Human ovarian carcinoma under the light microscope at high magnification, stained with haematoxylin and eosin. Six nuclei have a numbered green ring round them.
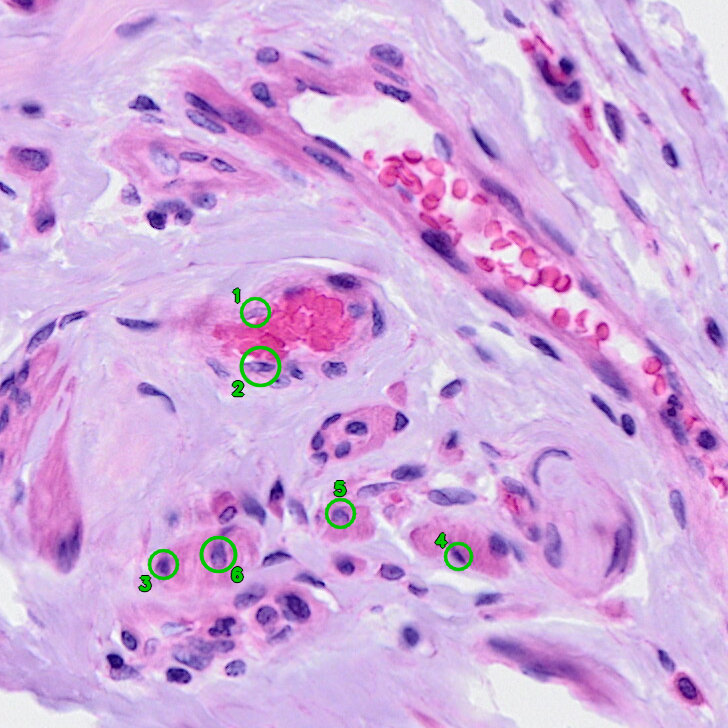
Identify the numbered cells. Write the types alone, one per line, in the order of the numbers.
endothelial cell
endothelial cell
smooth muscle cell
smooth muscle cell
smooth muscle cell
smooth muscle cell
